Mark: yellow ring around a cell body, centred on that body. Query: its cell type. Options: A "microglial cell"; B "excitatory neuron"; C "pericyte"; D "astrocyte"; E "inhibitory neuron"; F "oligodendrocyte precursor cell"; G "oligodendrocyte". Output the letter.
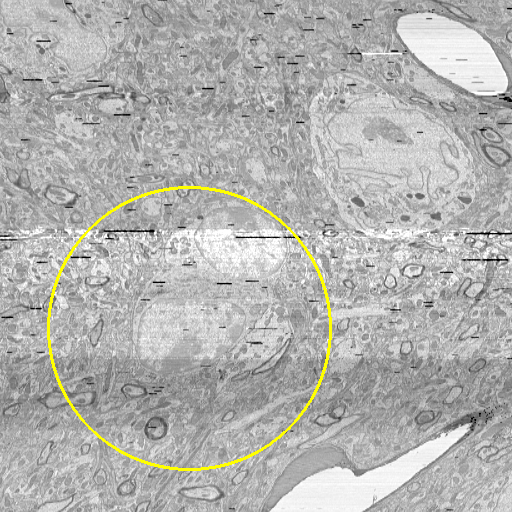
G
